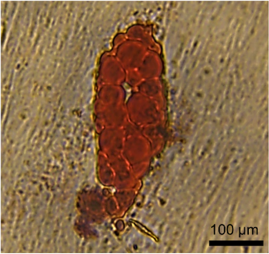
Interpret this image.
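This culture shows a group of adipocytes whose cytoplasm is packed with lipid droplets stained orange-red. The droplets are round and crowded tightly together into an elongated cluster. Behind the cluster the unstained cells are faintly visible as long, spindle-shaped forms lying roughly parallel to one another.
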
